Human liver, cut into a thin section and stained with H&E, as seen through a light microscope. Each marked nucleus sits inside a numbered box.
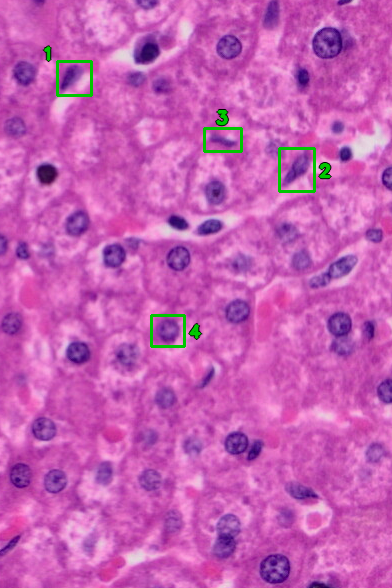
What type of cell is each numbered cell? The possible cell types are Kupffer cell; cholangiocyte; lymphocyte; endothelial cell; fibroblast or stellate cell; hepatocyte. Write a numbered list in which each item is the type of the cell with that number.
1. endothelial cell
2. Kupffer cell
3. endothelial cell
4. hepatocyte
